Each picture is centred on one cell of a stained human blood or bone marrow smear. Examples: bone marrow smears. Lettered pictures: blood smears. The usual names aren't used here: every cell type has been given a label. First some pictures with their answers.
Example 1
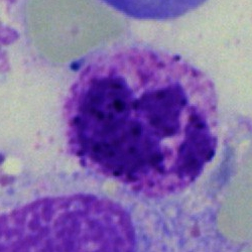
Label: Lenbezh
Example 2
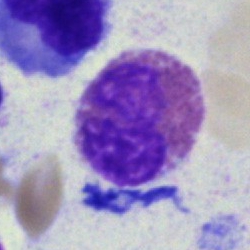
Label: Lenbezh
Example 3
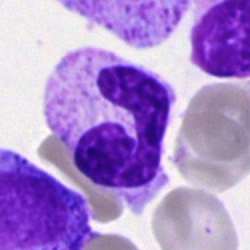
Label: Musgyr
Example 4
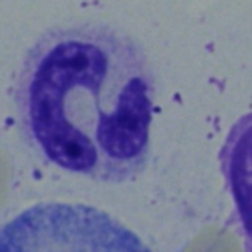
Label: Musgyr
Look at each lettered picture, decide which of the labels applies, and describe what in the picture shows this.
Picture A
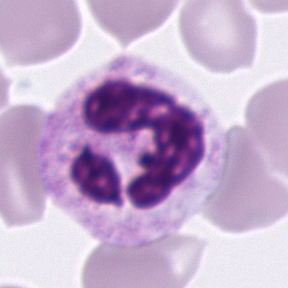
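Label: Musgyr. The cytoplasm is plentiful and pale pinkish-lilac.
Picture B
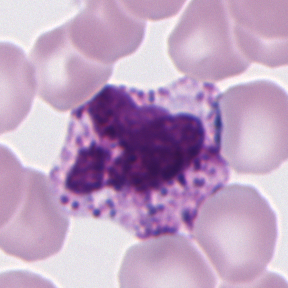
Label: Lenbezh. The granules are coarse and unevenly scattered.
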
